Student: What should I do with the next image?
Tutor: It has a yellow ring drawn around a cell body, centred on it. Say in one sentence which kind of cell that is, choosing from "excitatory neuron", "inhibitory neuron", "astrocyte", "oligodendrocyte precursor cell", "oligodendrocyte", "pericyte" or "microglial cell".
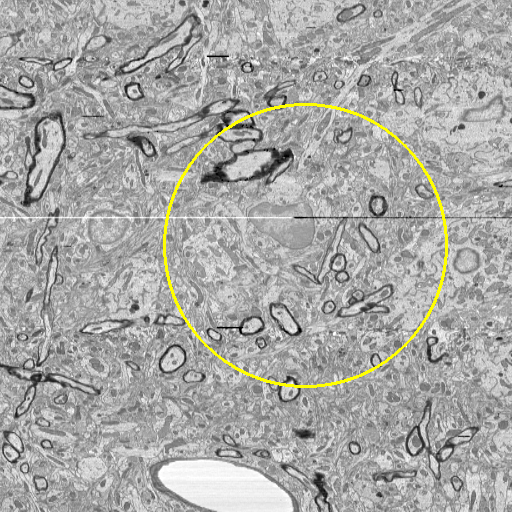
The ring's centre is occupied by a microglial cell.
